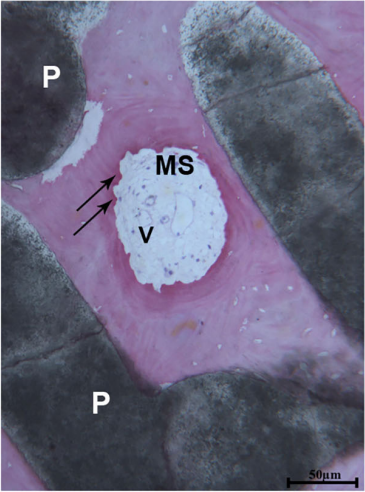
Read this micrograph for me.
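A small marrow space with a pale loose content and small vessels lies within pink-stained bone between dark biomaterial particles. Around the marrow space the bone shows concentric lines and darker pink bands, signs of bone remodeling, and small lacunae are scattered in the matrix.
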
